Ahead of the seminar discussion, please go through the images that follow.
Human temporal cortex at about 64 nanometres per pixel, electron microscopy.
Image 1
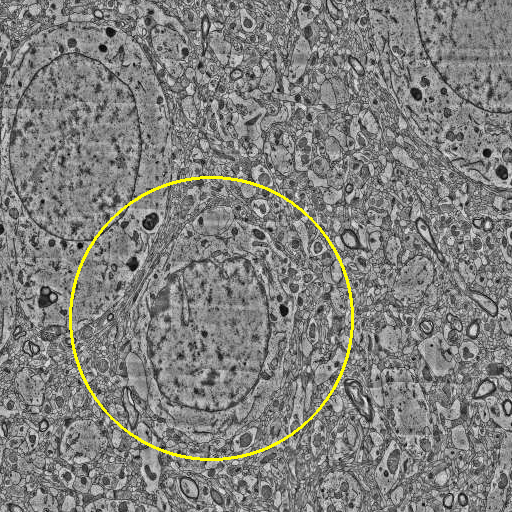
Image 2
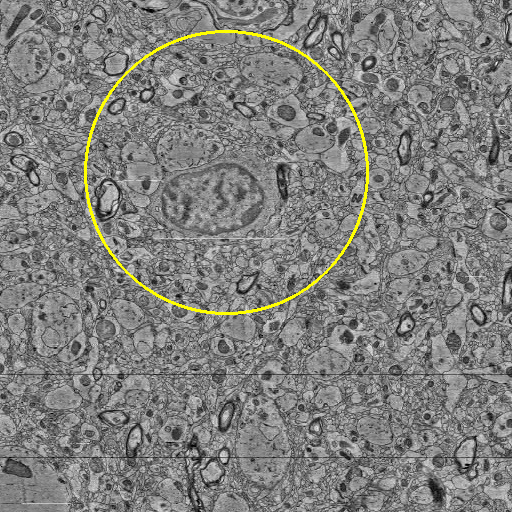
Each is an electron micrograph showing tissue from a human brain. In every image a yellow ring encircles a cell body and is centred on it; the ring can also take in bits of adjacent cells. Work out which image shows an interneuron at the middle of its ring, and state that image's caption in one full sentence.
In Image 1, the ring's centre holds the cell you are looking for.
